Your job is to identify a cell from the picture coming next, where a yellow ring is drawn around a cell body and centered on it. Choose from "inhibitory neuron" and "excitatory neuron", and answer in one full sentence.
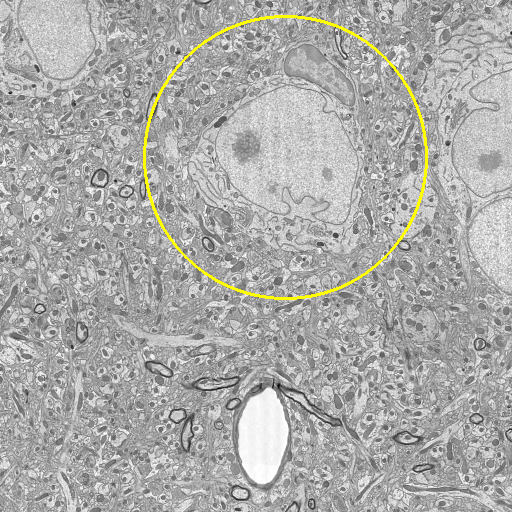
Centered in the yellow ring of the picture is the body of an inhibitory neuron.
